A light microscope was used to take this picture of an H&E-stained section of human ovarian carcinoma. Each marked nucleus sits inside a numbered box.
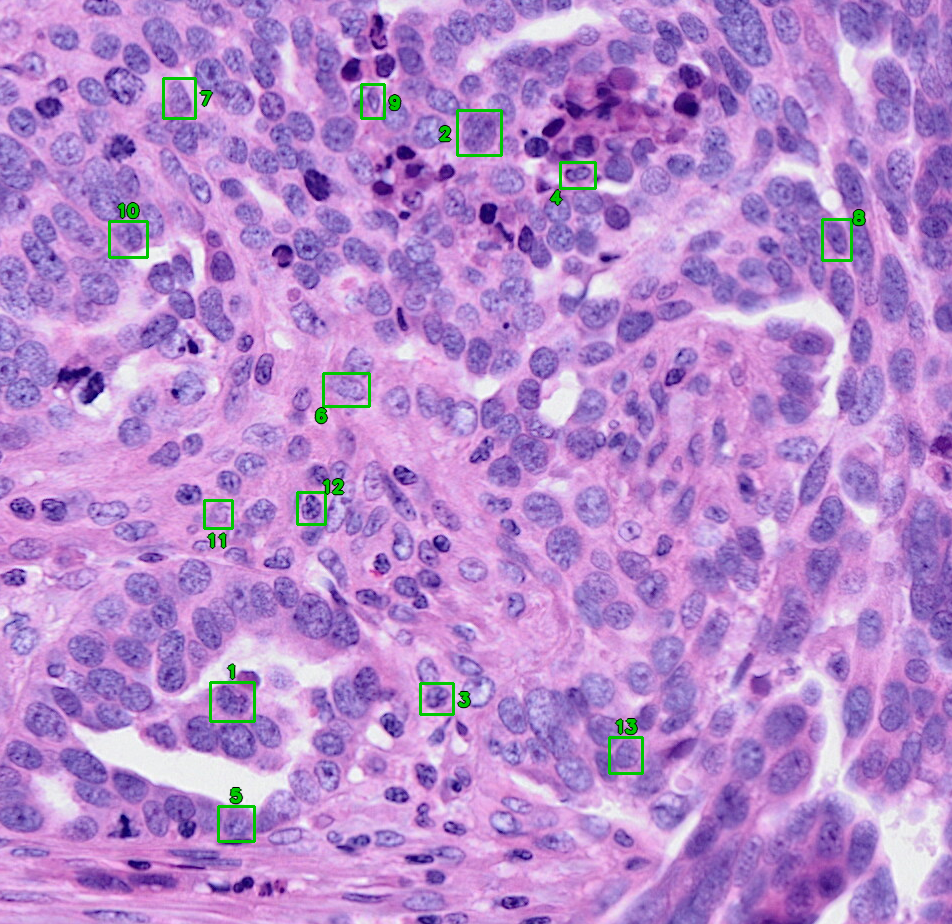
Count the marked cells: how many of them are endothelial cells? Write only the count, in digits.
1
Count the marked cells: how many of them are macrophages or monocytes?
2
